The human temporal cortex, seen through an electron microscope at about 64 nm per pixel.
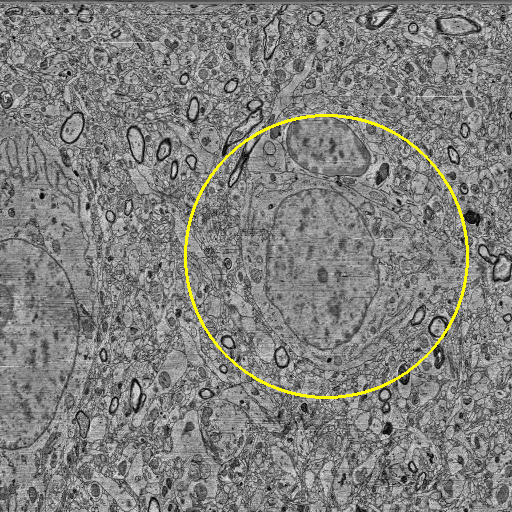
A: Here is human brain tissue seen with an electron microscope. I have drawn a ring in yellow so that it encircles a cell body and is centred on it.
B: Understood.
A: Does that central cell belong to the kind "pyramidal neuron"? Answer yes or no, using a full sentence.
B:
No, the central cell inside your yellow ring belongs to another kind.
